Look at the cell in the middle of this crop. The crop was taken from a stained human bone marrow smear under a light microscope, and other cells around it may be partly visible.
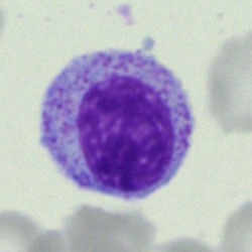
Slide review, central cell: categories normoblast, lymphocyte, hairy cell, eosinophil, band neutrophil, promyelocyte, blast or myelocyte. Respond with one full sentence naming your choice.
The identification for the central cell is a myelocyte.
